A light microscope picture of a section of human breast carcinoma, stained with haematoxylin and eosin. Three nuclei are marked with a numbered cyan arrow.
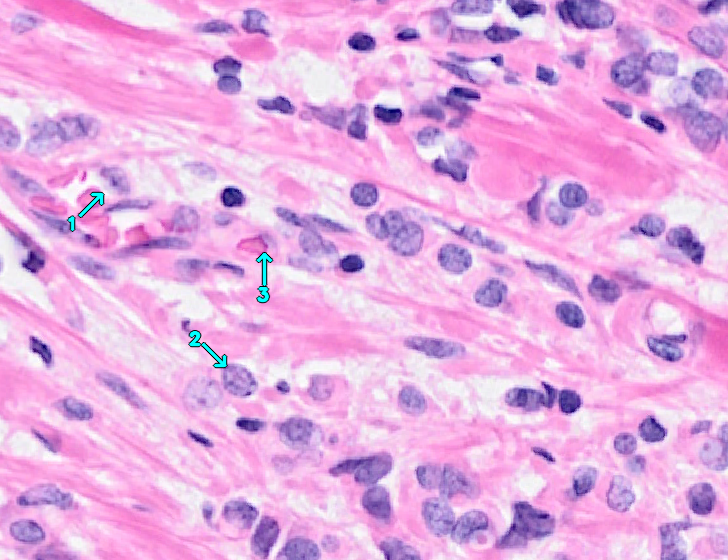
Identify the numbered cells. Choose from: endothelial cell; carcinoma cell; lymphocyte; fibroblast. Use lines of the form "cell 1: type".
cell 1: endothelial cell
cell 2: carcinoma cell
cell 3: endothelial cell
